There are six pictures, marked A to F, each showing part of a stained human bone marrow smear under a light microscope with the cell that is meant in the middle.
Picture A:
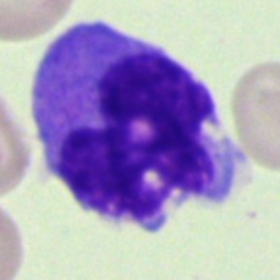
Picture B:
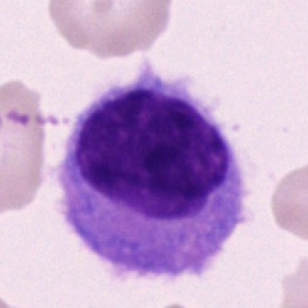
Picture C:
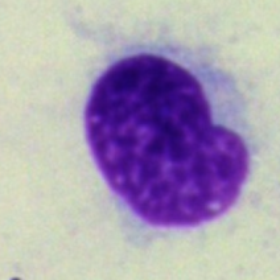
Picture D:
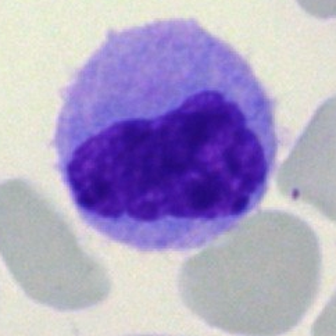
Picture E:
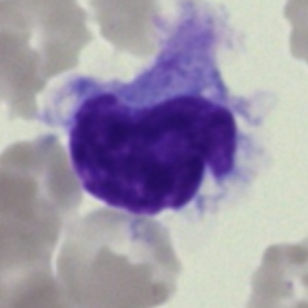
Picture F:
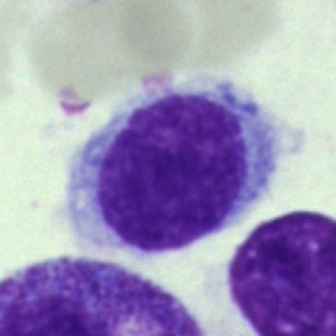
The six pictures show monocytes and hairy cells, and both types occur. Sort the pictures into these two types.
A: monocyte
B: hairy cell
C: hairy cell
D: monocyte
E: hairy cell
F: hairy cell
